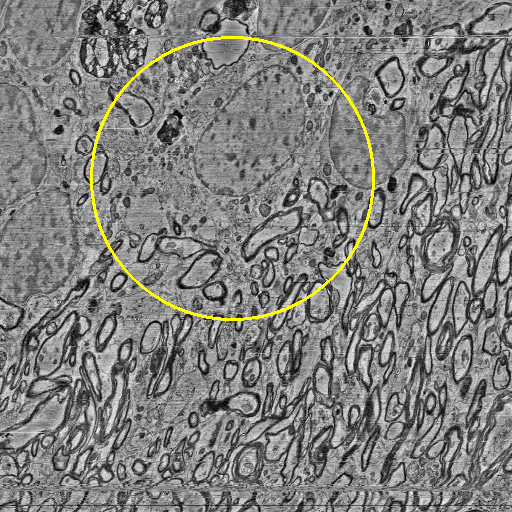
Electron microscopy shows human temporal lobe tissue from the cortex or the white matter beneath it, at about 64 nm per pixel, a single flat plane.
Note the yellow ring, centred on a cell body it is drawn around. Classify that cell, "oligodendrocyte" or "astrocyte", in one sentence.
The cell the ring is centred on is an astrocyte.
